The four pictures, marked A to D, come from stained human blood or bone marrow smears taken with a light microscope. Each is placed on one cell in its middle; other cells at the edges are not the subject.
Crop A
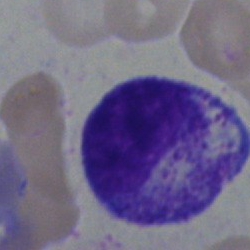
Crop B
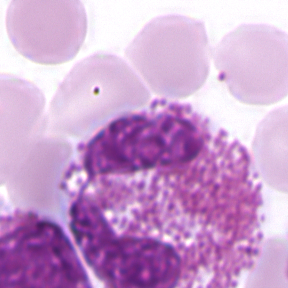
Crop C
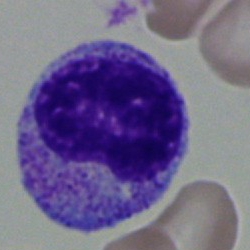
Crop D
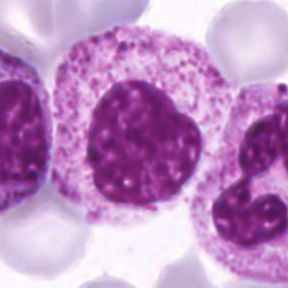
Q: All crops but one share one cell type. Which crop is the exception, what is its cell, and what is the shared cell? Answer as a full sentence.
Crop B alone is an eosinophil, and the other crops are all myelocytes.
